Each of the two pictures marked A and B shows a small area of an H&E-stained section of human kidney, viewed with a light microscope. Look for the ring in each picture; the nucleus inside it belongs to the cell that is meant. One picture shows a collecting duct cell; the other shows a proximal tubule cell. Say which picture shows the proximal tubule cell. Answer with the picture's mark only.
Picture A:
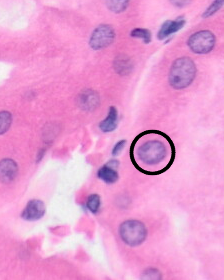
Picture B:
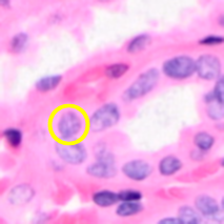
A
